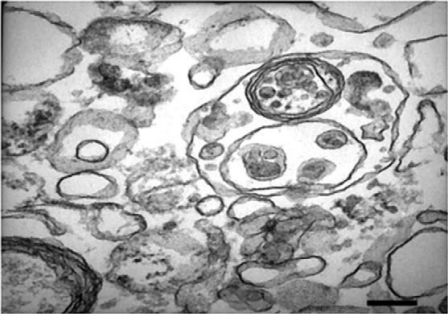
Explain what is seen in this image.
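This is a field of many membrane-bound vesicles of widely varying size, seen in section. Most are round or oval with a single thin dark membrane and a pale or faintly granular interior. Between the vesicles lies loose, fine granular and flocculent material. Toward the lower left edge, a dense layered membrane structure is cut at the margin.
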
